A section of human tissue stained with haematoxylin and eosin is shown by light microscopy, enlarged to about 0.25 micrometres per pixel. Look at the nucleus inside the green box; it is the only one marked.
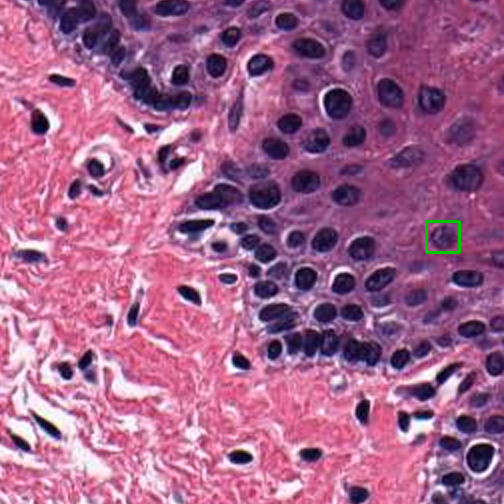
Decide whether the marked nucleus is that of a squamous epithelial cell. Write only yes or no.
yes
